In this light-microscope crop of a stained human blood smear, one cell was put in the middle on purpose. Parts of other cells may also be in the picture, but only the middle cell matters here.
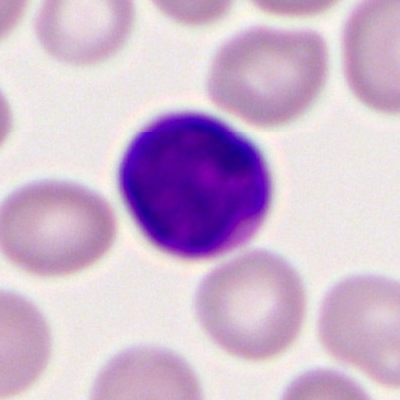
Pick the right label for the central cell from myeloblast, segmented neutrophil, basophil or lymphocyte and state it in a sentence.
The middle of this crop holds a myeloblast.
